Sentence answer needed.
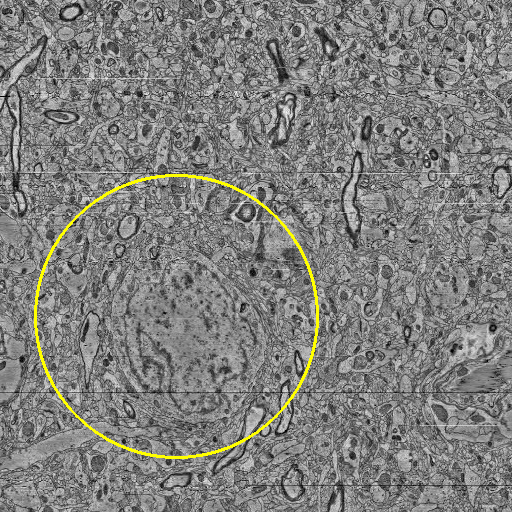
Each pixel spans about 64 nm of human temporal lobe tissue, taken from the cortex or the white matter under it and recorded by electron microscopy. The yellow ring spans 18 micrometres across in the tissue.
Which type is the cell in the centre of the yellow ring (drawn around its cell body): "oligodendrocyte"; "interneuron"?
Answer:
In the centre of the yellow ring is an interneuron.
